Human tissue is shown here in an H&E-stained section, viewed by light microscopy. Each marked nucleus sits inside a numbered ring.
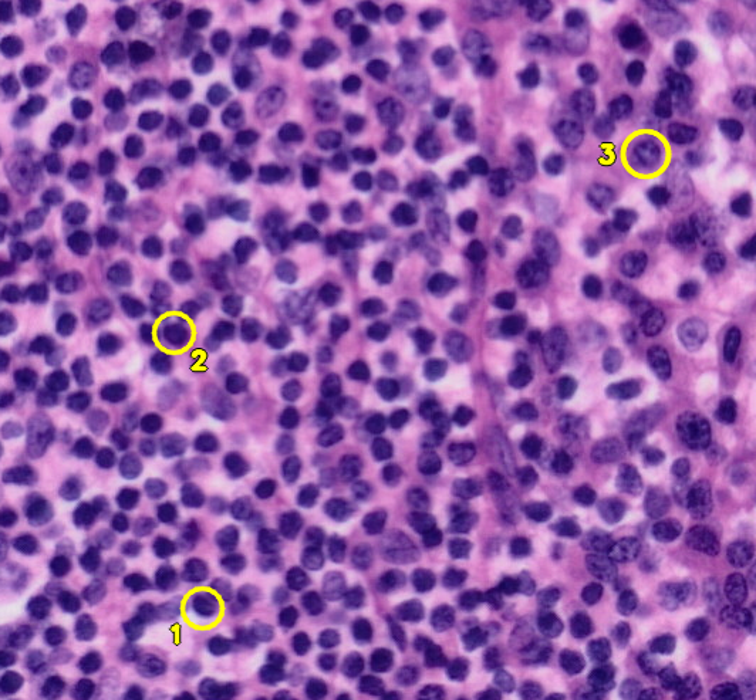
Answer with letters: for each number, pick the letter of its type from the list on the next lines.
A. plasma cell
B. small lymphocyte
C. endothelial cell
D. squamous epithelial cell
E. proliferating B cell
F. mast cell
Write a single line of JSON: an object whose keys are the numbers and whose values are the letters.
{"1": "B", "2": "B", "3": "A"}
